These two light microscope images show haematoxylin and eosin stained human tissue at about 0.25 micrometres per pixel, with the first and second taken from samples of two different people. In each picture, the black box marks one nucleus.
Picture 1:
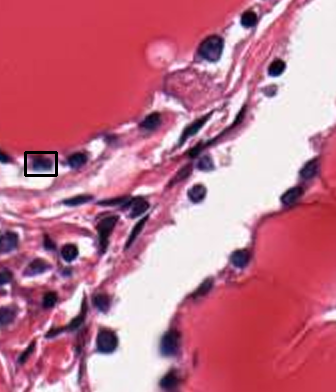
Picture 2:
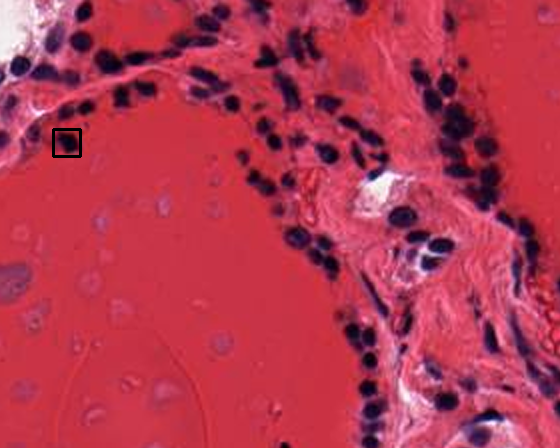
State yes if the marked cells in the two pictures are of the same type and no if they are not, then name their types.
Yes, both are thyroid follicular cells.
